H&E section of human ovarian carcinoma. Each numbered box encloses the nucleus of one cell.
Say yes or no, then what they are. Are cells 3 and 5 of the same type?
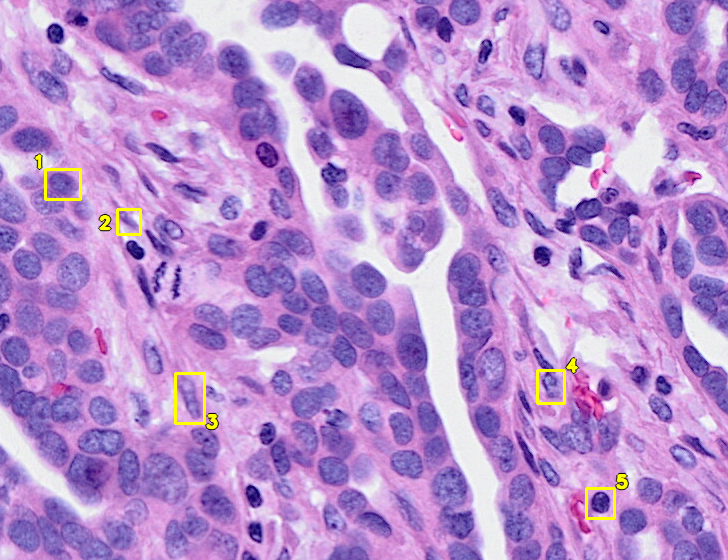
No, unlike cell 5, which is a lymphocyte, cell 3 is a fibroblast.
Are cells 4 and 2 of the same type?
Yes, sure, cells 4 and 2 are both fibroblasts.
